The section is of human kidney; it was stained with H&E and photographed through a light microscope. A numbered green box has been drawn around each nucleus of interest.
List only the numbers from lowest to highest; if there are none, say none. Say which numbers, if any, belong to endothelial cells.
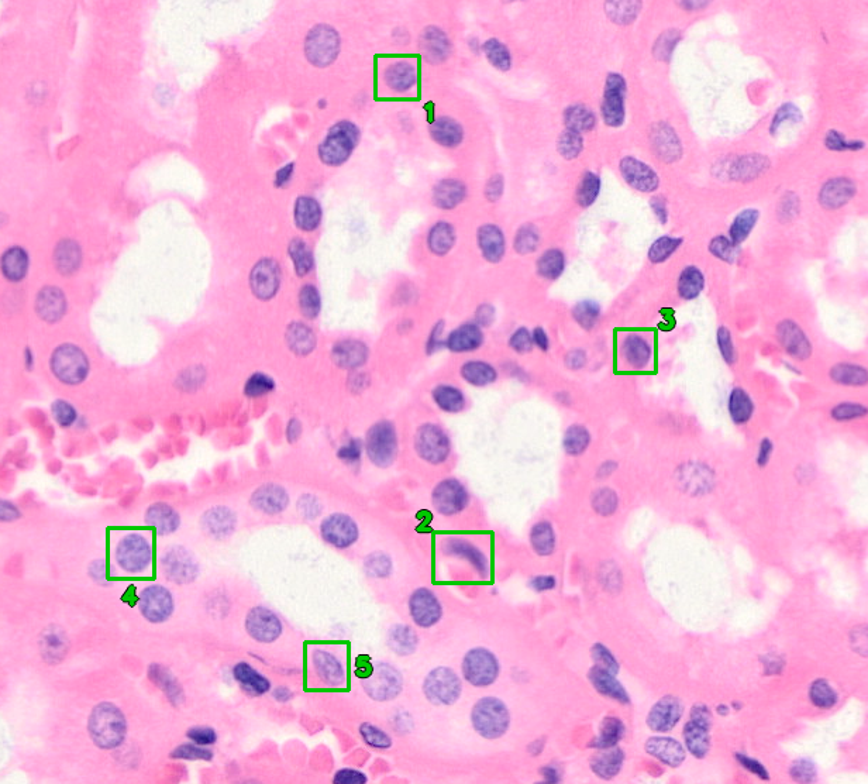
2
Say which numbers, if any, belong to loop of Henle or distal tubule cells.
1, 3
